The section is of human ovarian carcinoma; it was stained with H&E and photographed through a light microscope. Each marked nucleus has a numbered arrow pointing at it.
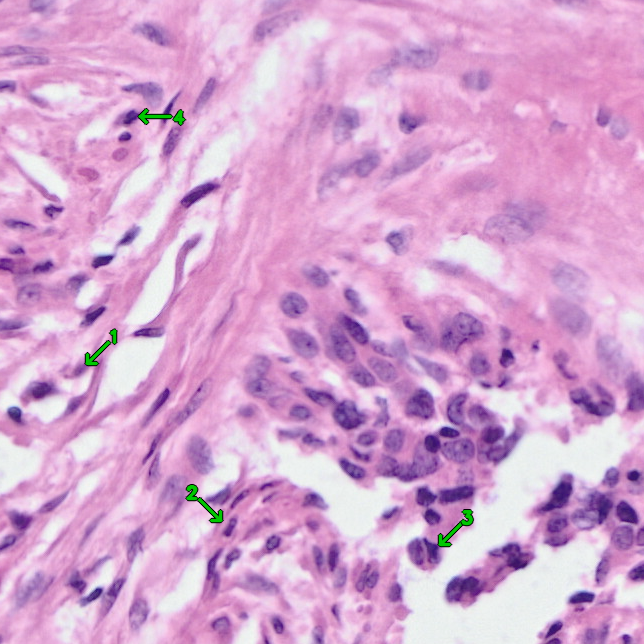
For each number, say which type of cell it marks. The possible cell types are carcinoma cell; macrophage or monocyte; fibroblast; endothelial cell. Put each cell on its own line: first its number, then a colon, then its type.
1: fibroblast
2: fibroblast
3: macrophage or monocyte
4: fibroblast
